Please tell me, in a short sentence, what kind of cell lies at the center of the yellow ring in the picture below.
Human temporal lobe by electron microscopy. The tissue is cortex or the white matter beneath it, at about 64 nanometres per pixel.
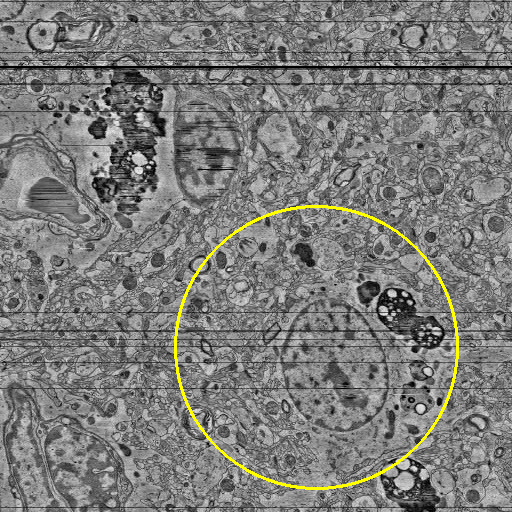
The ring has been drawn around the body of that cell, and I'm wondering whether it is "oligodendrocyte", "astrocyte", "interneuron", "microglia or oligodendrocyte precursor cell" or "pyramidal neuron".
The cell at the center of the ring is an astrocyte.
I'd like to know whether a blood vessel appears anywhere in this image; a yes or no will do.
Yes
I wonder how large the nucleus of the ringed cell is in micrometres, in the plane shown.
In this plane, the nucleus of the cell at the centre of the ring measures about 9 by 7 micrometres.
